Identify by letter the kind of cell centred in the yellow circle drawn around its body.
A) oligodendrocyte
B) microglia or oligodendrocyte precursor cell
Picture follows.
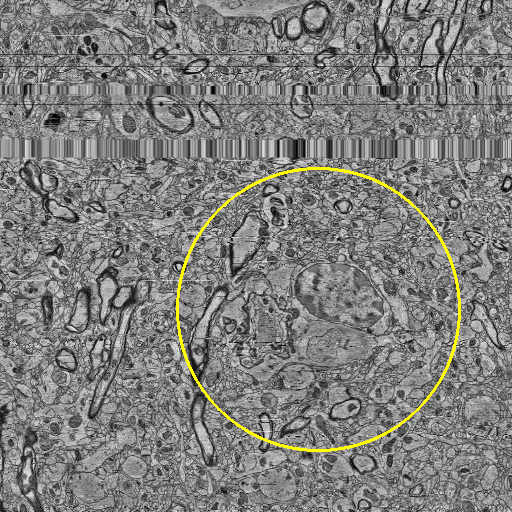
B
